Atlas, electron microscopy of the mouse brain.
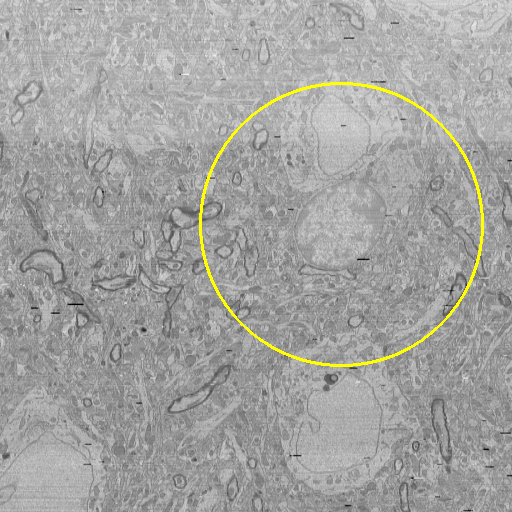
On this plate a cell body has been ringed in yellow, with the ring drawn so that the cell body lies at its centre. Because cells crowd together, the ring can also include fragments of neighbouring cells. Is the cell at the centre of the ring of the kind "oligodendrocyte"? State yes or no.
Yes, it is of that kind.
